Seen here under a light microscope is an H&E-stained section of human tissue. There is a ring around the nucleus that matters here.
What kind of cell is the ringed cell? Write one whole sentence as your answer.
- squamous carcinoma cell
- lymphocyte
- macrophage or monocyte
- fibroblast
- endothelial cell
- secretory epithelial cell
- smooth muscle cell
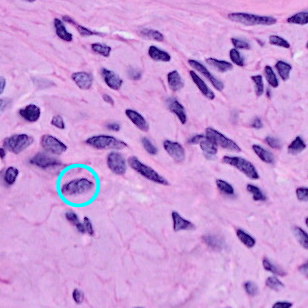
What the ringed cell represents is a fibroblast.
